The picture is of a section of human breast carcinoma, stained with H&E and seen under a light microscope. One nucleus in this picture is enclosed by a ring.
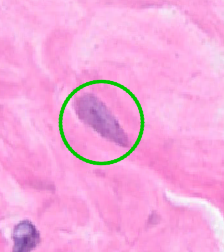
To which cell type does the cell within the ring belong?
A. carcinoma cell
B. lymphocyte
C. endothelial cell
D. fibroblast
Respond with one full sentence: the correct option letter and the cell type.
Option D, which has the cell within the ring as a fibroblast, is the correct choice.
